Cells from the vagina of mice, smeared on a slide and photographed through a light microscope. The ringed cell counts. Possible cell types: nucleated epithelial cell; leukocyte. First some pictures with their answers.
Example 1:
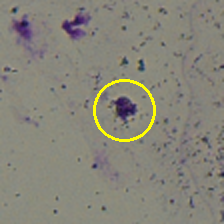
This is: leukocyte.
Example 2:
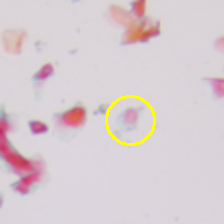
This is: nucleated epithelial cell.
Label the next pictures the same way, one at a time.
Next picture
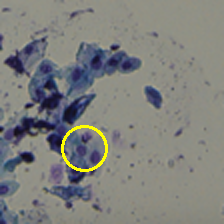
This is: nucleated epithelial cell.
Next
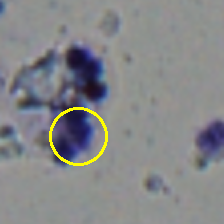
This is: leukocyte.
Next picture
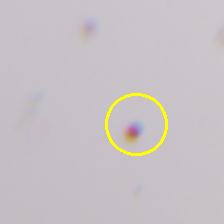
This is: leukocyte.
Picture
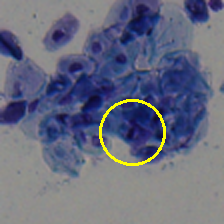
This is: nucleated epithelial cell.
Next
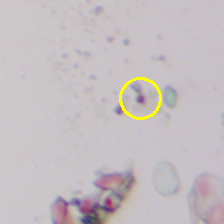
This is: leukocyte.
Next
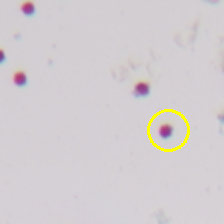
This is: leukocyte.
